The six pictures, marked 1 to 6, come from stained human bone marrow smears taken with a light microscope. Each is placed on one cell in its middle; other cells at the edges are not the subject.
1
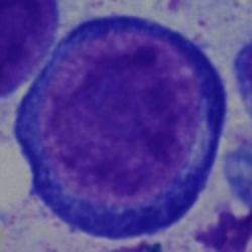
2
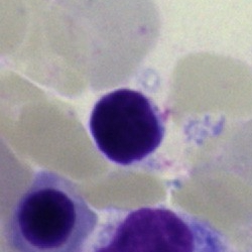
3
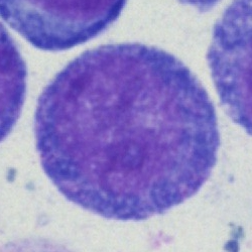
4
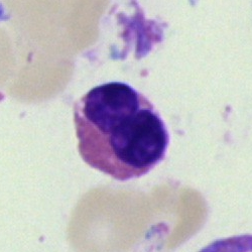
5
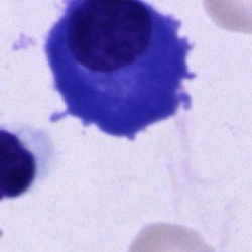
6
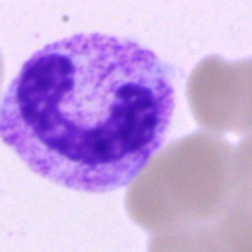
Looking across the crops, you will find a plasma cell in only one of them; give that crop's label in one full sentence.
Crop 5 is the one in the set with a plasma cell at the center.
